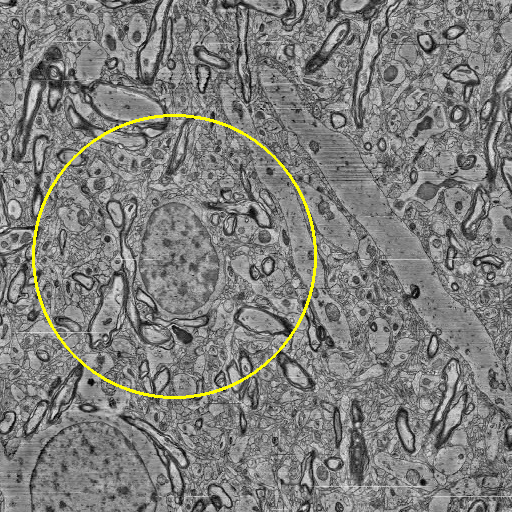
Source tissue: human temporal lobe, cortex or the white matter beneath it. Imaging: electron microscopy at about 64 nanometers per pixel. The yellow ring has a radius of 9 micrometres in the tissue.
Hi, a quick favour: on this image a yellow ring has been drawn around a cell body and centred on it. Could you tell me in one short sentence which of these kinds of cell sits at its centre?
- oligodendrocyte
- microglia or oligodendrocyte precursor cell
The ring is centred on an oligodendrocyte.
